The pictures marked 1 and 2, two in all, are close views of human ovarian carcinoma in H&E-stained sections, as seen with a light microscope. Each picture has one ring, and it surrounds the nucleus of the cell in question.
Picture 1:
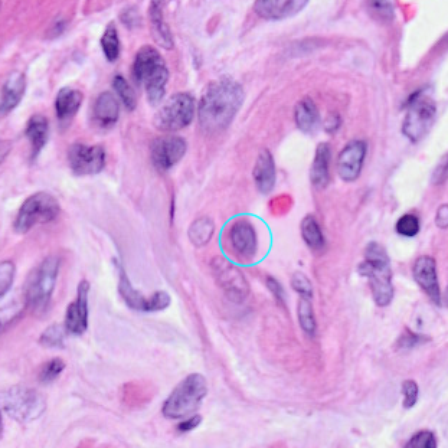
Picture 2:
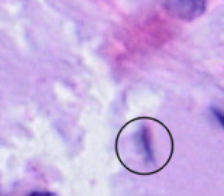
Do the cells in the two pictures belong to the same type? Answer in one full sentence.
No. Picture 1 shows an endothelial cell, but picture 2 shows a fibroblast.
